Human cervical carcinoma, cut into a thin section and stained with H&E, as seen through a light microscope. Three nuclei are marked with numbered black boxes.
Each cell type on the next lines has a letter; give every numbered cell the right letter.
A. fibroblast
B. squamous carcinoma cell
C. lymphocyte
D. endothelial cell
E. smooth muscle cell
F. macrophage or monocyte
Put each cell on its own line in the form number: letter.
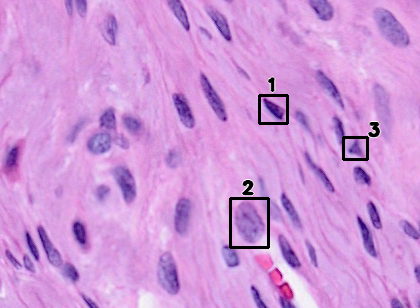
1: A
2: D
3: A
